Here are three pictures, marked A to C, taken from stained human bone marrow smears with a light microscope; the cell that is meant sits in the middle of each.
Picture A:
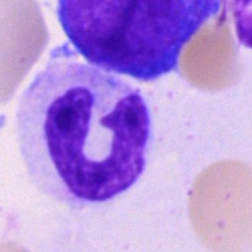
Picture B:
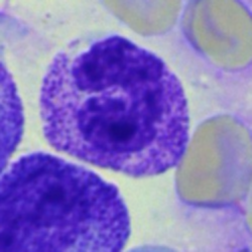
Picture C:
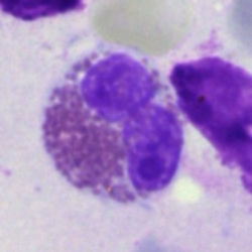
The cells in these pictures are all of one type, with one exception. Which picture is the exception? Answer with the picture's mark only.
C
